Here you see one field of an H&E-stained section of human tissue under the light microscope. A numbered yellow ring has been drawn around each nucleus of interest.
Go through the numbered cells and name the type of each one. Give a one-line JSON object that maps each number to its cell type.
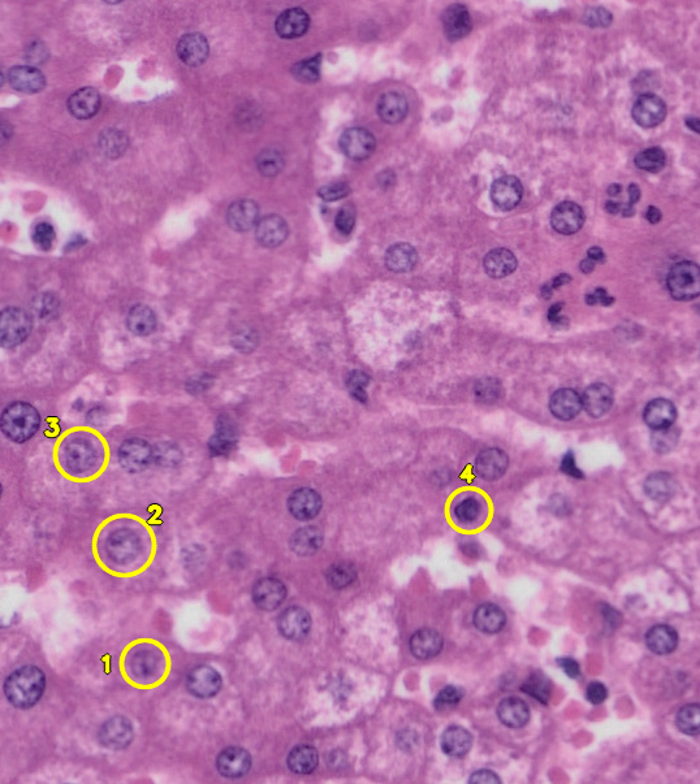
{"1": "hepatocyte", "2": "hepatocyte", "3": "hepatocyte", "4": "fibroblast or stellate cell"}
